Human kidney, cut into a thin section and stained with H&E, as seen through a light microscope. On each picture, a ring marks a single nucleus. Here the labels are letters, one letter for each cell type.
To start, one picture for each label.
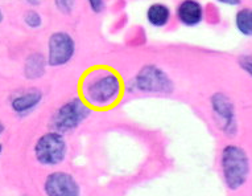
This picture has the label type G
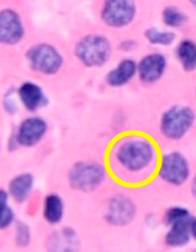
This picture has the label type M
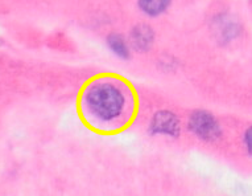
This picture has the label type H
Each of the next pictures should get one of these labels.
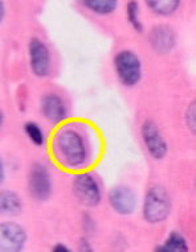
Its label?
type M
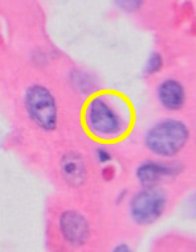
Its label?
type G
